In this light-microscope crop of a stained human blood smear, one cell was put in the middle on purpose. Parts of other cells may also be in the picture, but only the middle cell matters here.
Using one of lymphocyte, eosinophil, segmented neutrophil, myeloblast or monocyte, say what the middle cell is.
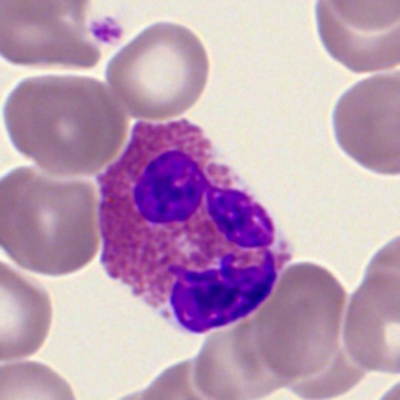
eosinophil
